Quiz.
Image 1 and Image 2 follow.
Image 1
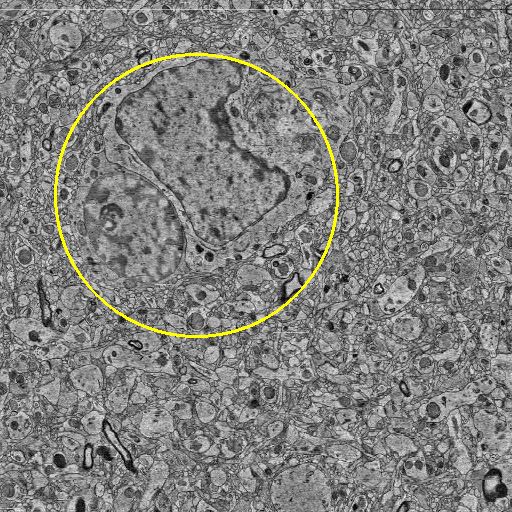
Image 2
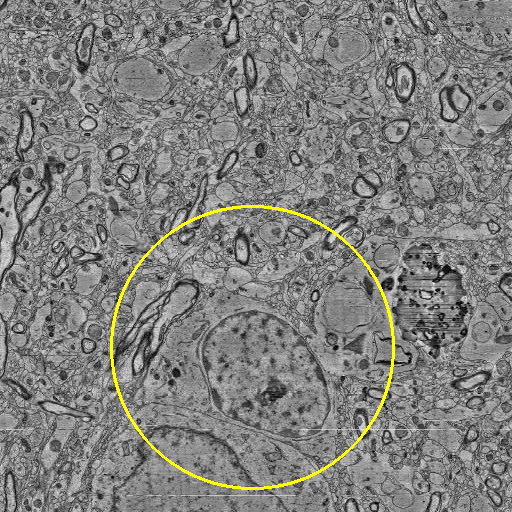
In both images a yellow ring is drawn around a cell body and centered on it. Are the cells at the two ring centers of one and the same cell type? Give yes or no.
yes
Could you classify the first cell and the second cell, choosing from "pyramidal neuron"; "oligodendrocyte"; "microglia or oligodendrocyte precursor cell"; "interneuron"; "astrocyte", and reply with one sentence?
Each of the two pictures has a microglial cell or oligodendrocyte precursor cell at the ring centre.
